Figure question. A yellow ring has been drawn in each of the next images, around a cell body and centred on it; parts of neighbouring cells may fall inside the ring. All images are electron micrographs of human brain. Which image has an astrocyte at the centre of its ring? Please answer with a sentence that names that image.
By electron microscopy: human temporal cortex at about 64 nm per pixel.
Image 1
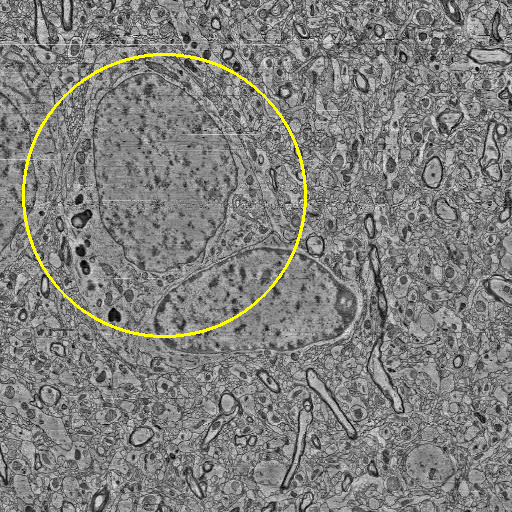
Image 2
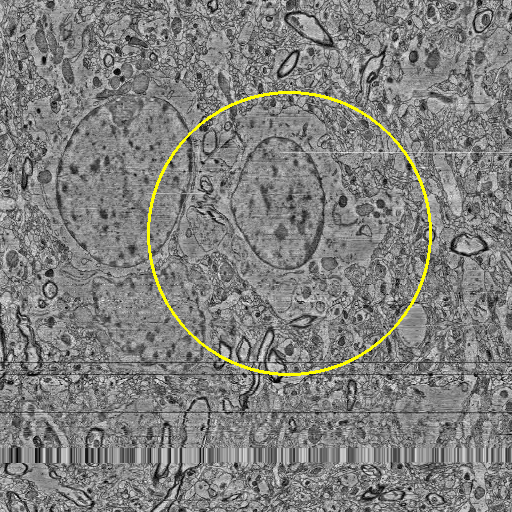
The cell at the centre of the ring in Image 2 is of that kind.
